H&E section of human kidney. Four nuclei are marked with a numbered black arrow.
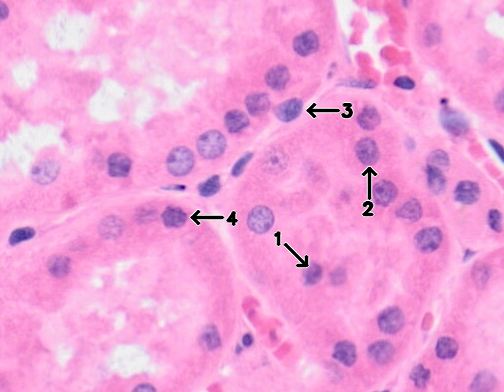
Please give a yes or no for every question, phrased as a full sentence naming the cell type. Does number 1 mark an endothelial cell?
No, the cell carrying number 1 is a proximal tubule cell, not an endothelial cell.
